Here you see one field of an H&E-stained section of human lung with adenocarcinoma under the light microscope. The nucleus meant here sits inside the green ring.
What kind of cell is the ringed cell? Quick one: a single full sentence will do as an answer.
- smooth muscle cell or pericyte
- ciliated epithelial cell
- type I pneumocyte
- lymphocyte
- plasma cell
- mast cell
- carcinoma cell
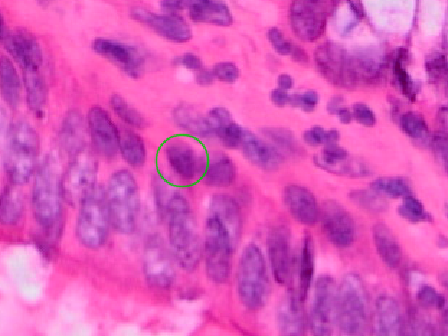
It is a ciliated epithelial cell that the ringed cell represents.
